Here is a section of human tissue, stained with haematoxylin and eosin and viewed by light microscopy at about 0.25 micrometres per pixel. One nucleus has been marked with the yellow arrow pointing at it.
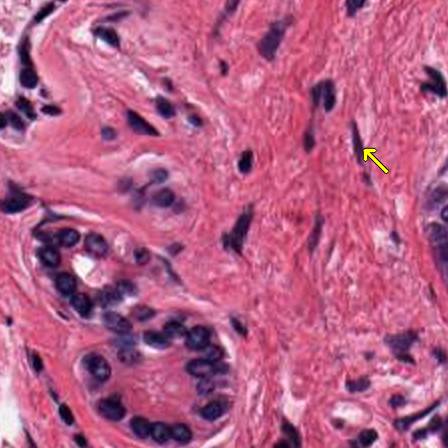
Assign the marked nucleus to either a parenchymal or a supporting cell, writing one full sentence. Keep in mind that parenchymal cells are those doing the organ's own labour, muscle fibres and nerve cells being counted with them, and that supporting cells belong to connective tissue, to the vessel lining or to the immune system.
The marked nucleus is found in a supporting cell.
